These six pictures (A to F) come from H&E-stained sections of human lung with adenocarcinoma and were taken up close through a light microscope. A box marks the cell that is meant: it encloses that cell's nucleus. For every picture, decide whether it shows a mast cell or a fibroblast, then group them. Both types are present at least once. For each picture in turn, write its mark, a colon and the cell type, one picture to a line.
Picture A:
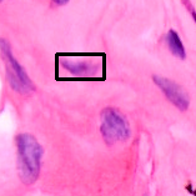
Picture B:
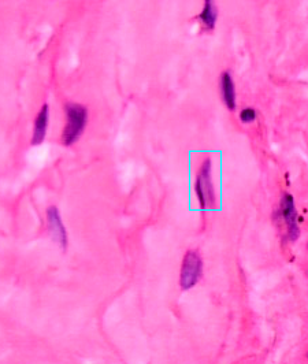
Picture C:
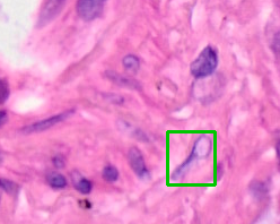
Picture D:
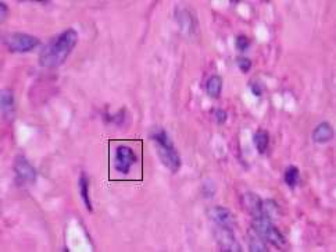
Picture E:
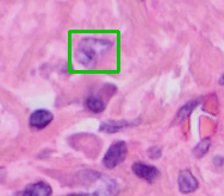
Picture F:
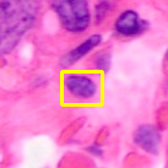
A: fibroblast
B: fibroblast
C: fibroblast
D: mast cell
E: fibroblast
F: mast cell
